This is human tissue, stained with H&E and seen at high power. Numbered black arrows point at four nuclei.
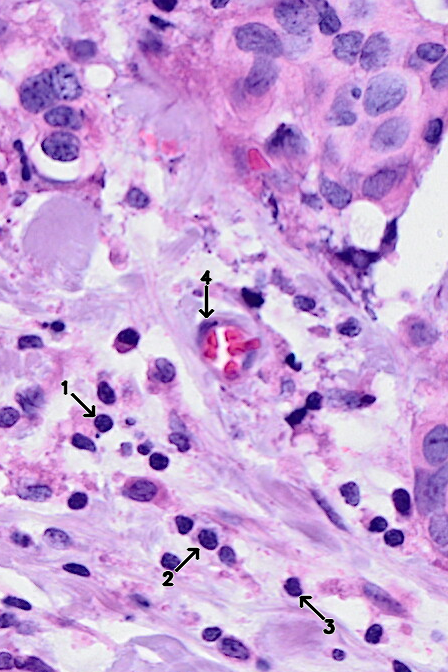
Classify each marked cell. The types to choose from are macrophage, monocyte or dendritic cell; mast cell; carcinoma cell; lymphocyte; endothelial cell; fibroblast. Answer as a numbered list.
1. lymphocyte
2. lymphocyte
3. lymphocyte
4. endothelial cell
